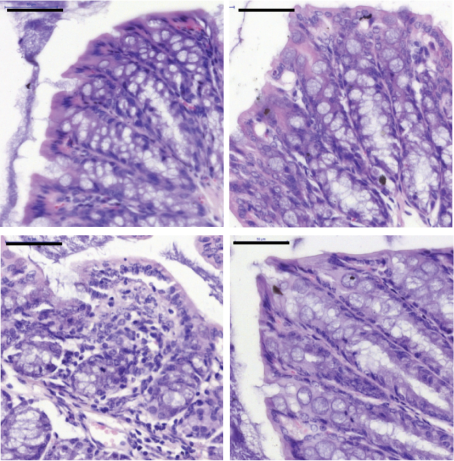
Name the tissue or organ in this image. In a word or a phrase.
colon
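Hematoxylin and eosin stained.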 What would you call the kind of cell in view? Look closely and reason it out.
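Goblet cells. Many epithelial cells have large, pale, rounded clear cytoplasm. These pale cells line the crypts between thin pink-purple cells.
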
